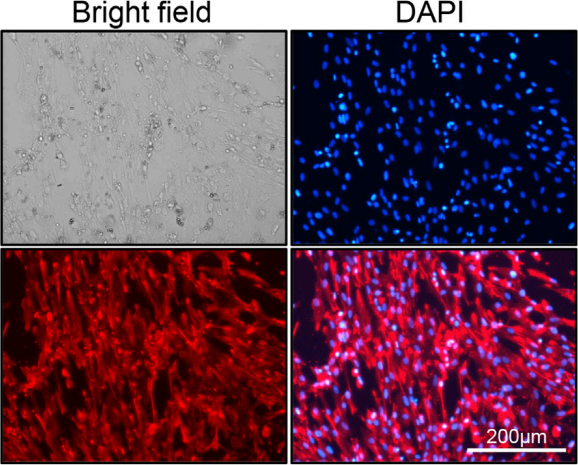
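The cells are elongated and spindle-shaped or bipolar, with thin tapering processes, and lie in loosely parallel streams with gaps between them. Their cytoplasm is filled with red filamentous staining that runs along the long axis of each cell. Each cell holds a single oval blue nucleus, and the nuclei are spread fairly evenly across the field.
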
